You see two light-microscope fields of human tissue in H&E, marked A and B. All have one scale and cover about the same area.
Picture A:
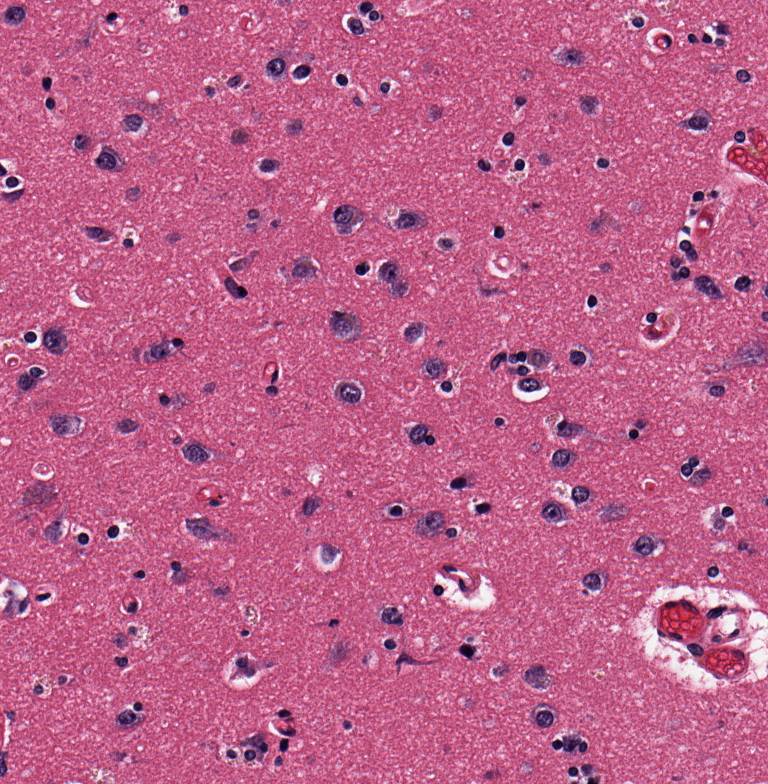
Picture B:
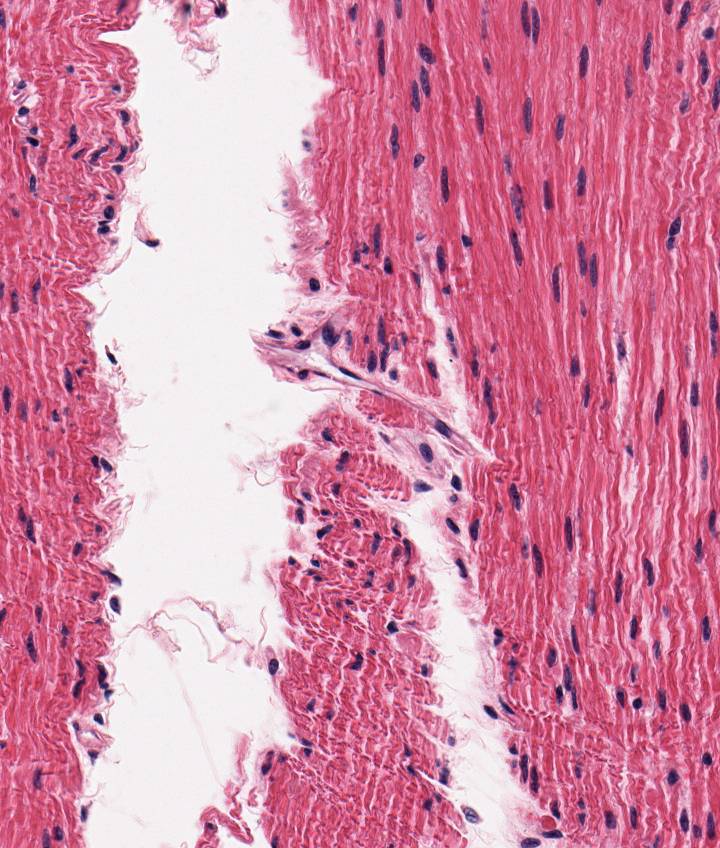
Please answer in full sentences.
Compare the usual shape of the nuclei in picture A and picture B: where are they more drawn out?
Longer, more slender nuclei lie in picture B.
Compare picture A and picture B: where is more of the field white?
More of picture B is empty and white.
